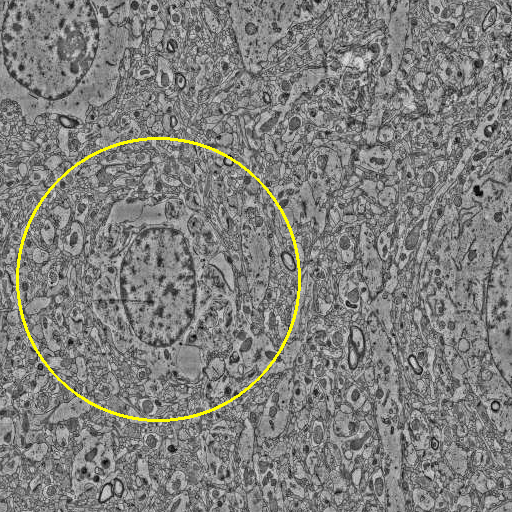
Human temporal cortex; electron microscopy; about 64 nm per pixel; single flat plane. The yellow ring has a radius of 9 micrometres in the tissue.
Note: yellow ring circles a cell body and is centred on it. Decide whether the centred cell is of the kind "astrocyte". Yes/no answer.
Yes, the centred cell is of that kind.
